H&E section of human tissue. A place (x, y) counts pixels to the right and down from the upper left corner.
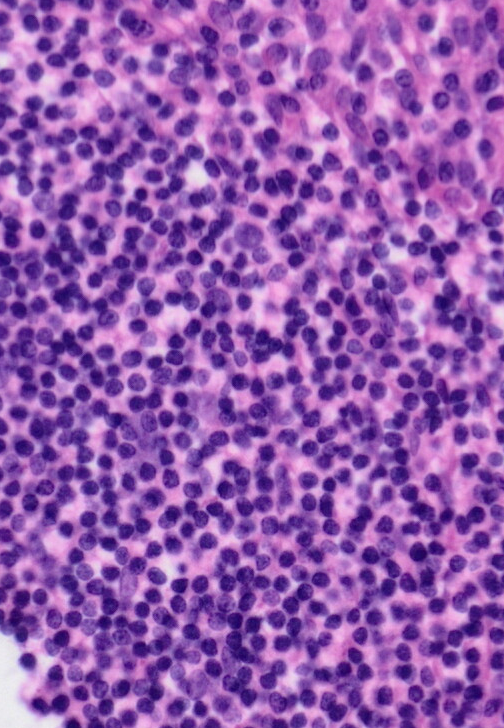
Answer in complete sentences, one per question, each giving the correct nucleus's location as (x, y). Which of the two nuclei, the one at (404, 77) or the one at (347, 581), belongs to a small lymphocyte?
Located at (347, 581), this nucleus is the one belonging to a small lymphocyte.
